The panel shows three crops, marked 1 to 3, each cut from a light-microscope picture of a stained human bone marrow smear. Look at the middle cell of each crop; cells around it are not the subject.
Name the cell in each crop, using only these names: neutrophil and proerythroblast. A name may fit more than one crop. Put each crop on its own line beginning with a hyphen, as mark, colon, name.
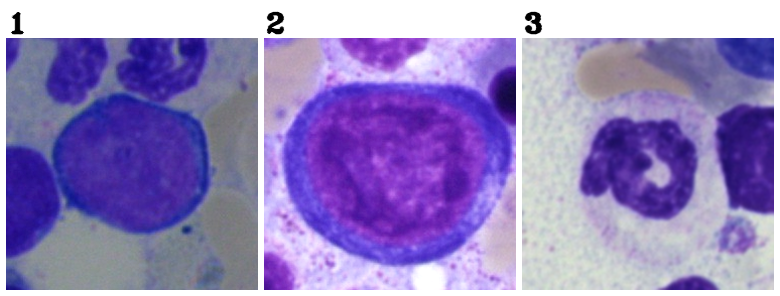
- 1: proerythroblast
- 2: proerythroblast
- 3: neutrophil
